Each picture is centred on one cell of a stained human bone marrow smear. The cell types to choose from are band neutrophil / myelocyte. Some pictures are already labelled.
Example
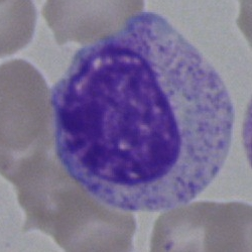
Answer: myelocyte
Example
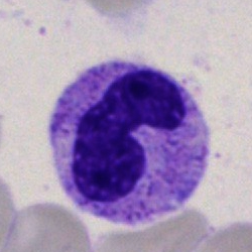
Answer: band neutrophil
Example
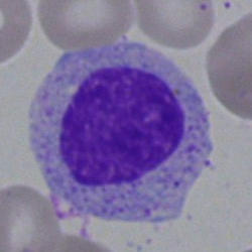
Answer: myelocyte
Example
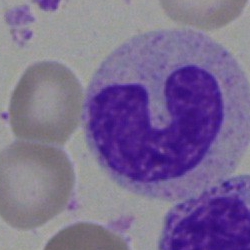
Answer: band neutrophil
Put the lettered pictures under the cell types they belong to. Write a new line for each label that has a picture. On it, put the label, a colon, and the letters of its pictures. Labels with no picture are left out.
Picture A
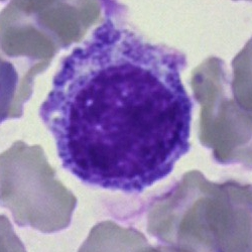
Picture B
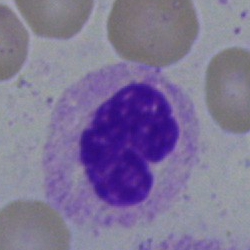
band neutrophil: B
myelocyte: A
